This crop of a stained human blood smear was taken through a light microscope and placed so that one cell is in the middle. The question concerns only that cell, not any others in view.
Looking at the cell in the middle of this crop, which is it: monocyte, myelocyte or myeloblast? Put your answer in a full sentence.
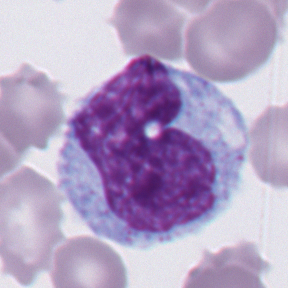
Centred in the crop is a monocyte.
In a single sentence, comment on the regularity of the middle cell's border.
Its outline is smooth, with no projections anywhere along the edge.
